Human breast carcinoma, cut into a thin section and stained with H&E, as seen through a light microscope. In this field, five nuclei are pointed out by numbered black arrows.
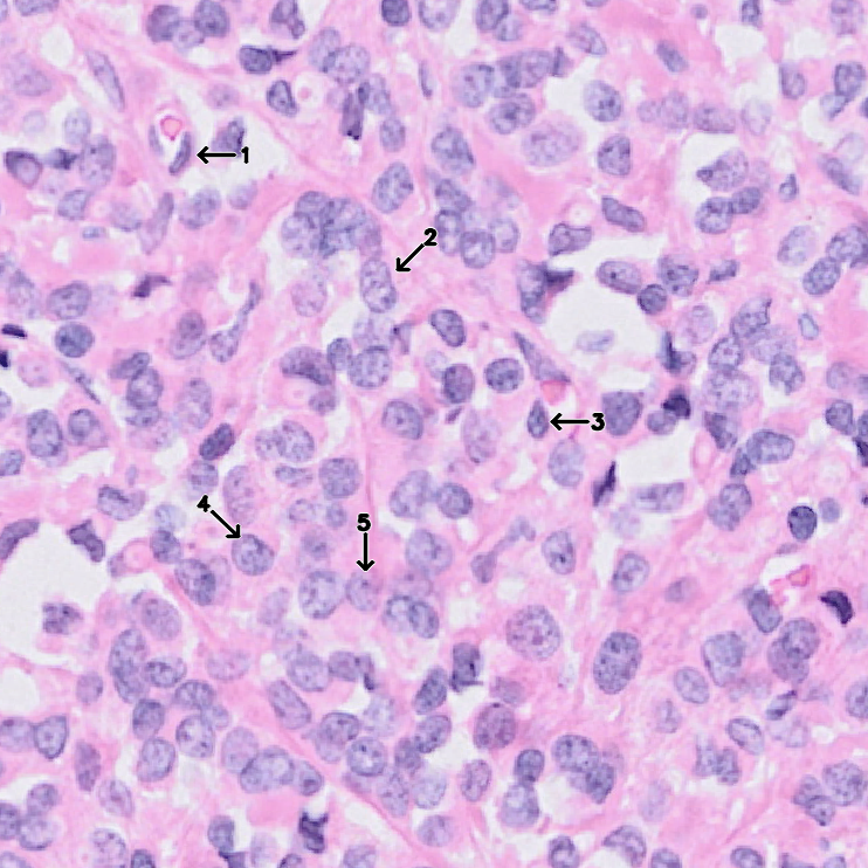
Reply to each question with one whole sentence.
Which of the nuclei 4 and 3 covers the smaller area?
With nucleus 4 about 2 times its size, nucleus 3 is the smaller of the two.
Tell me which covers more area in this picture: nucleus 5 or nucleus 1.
Number 5 is larger; its area is about 2 times that of number 1.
